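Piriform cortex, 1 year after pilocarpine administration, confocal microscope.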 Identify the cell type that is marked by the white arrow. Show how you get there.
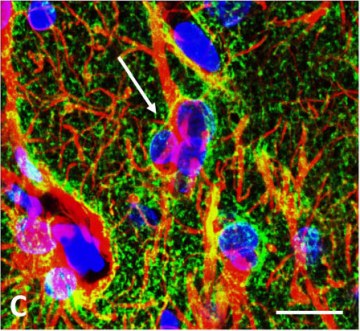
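The arrow points to a cell body holding several rounded blue nuclei pressed together. The cell lies within a dense meshwork of red fibrous processes.
Multinucleated astrocyte.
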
